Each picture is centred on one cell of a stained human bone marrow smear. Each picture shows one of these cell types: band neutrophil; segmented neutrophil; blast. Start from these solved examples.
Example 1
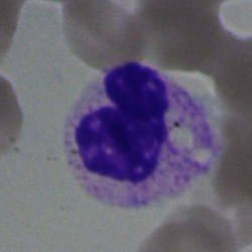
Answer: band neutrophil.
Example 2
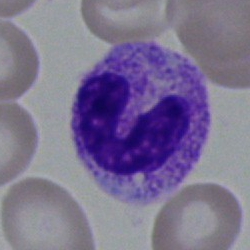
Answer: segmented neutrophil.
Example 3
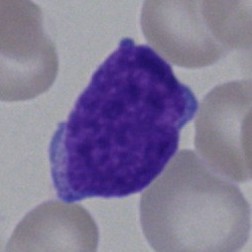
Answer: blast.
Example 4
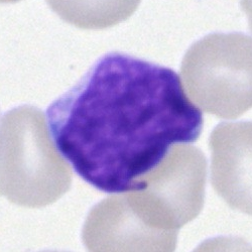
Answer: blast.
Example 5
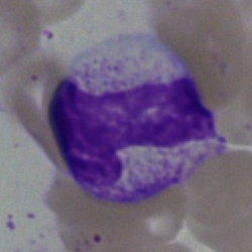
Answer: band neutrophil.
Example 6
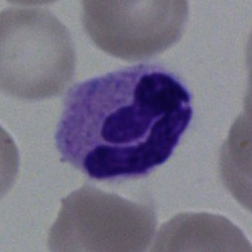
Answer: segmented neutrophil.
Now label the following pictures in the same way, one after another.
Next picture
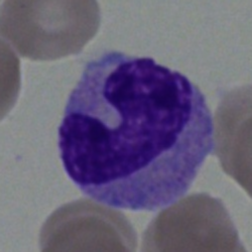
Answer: band neutrophil.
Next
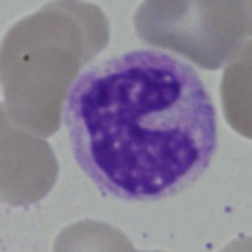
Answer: band neutrophil.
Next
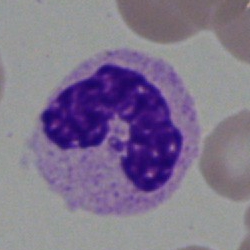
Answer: segmented neutrophil.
